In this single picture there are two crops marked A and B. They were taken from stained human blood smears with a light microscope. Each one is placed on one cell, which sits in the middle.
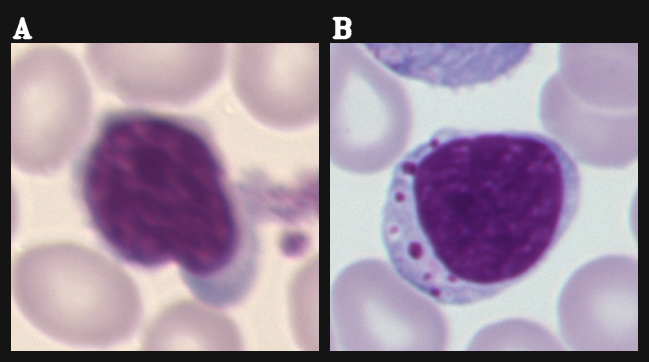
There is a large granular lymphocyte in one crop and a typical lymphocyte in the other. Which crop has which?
A: typical lymphocyte
B: large granular lymphocyte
